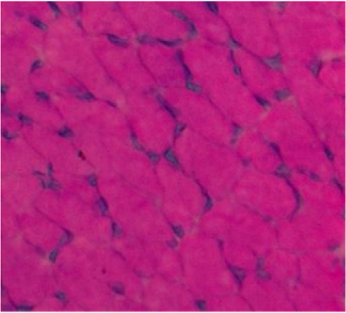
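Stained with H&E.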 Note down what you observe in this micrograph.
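Here skeletal muscle is seen in cross-section with pink-stained cytoplasm and dark purple nuclei. The fibers are polygonal, closely fitted against one another and of broadly similar size. Their elongated purple nuclei lie at the borders between fibers, at the periphery of each fiber, while the fiber interiors are evenly pink. The spaces between fibers are narrow, with little connective tissue and no accumulations of small round cells, giving the regular mosaic typical of muscle cut across its length.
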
